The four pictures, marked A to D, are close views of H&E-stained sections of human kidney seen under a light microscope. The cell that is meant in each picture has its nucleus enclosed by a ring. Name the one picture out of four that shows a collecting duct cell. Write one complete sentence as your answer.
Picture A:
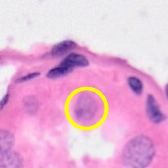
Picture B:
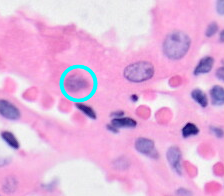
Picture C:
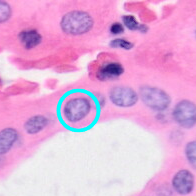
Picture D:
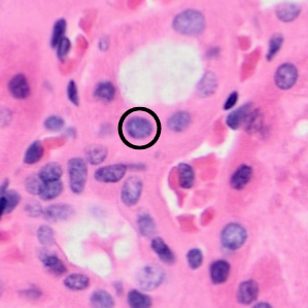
The cell in picture C is the collecting duct cell.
